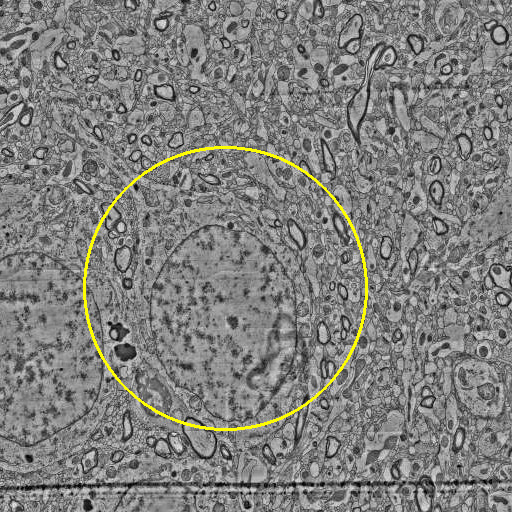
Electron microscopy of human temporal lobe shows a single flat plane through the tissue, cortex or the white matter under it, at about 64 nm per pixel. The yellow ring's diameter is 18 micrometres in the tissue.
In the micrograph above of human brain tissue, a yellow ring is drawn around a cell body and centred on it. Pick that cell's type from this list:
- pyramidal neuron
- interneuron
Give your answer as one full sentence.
Going by the list, a pyramidal neuron is the cell on which the yellow ring is centred.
